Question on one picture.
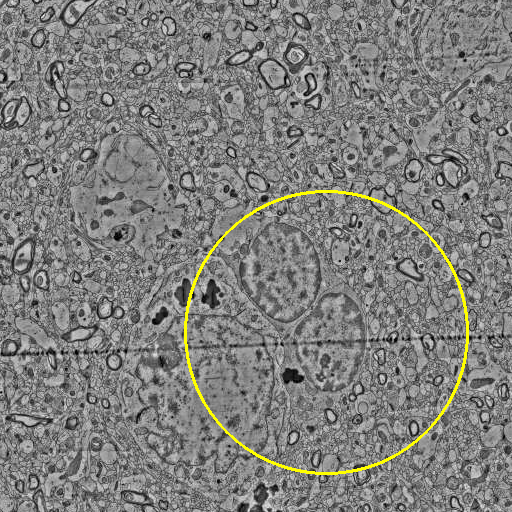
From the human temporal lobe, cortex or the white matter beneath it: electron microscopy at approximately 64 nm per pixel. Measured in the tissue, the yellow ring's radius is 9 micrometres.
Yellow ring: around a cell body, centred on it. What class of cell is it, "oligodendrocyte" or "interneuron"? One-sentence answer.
This is an oligodendrocyte, the cell the ring is centred on.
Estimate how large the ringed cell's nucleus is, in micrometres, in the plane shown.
In this plane the nucleus measures roughly 6 by 5 micrometres.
